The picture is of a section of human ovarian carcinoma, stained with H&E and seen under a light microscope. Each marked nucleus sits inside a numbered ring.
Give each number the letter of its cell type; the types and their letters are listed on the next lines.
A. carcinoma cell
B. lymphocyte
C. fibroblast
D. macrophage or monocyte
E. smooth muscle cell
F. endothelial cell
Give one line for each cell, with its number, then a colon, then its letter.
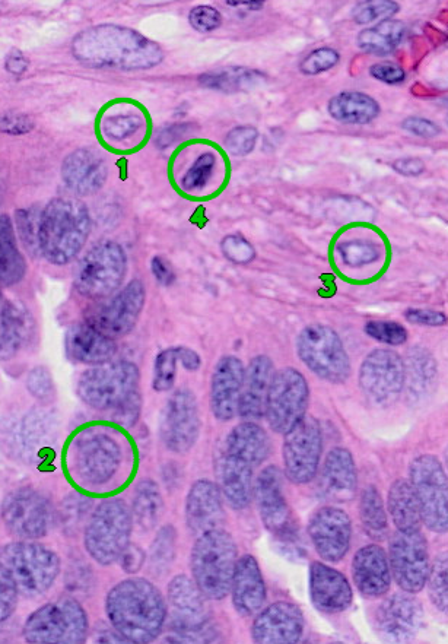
1: C
2: A
3: C
4: B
